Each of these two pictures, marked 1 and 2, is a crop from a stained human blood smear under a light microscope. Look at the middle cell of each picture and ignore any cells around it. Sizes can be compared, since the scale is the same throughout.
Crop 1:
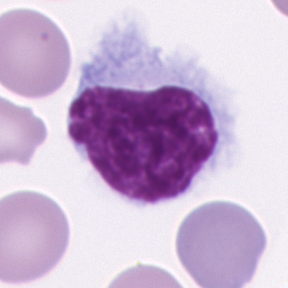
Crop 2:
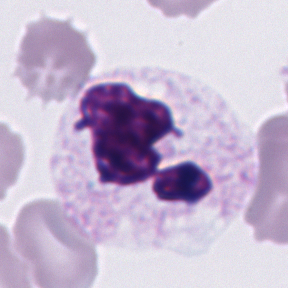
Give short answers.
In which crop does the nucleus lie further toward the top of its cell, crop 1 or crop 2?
2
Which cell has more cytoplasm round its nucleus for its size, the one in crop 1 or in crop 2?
2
